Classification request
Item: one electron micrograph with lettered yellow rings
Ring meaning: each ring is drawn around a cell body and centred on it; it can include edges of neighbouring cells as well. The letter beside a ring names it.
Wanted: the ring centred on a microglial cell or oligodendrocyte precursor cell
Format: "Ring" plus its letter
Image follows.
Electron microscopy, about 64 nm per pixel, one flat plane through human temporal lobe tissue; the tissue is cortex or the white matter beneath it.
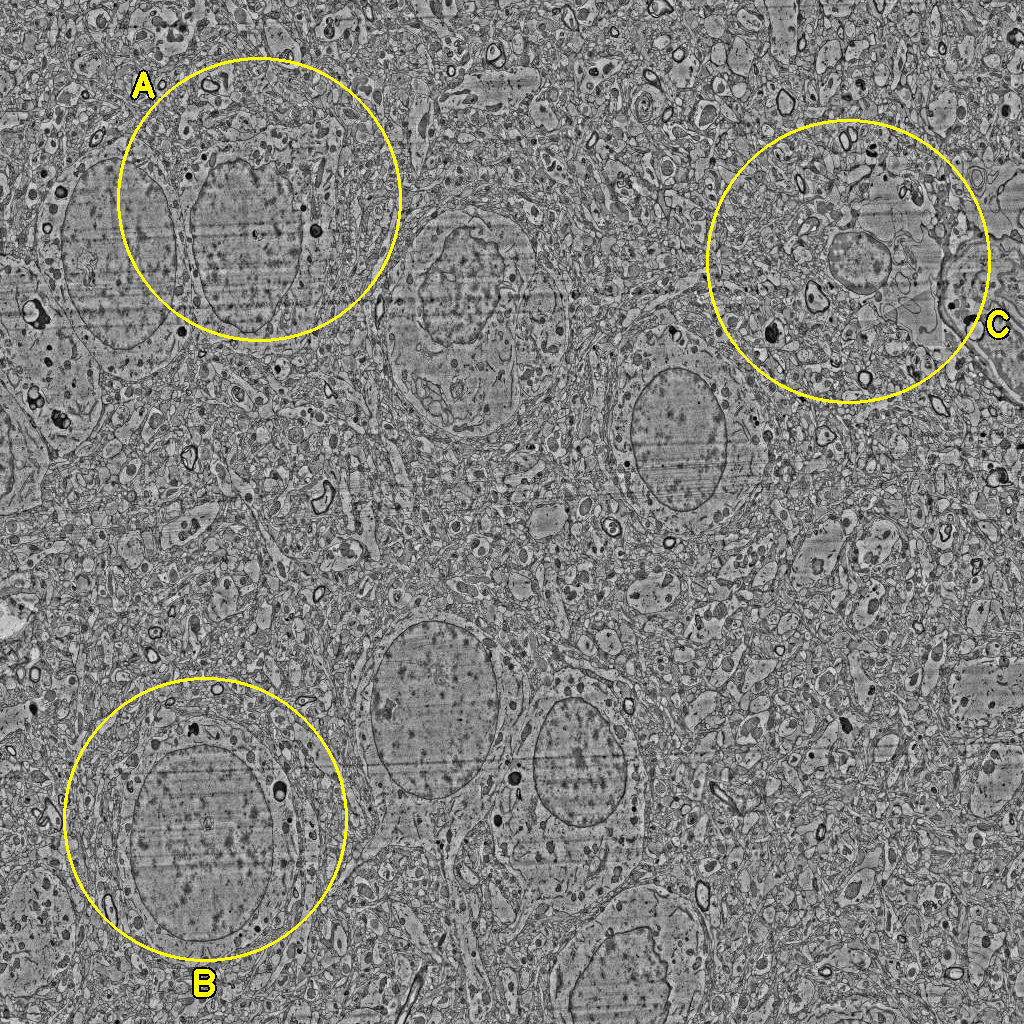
Ring C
